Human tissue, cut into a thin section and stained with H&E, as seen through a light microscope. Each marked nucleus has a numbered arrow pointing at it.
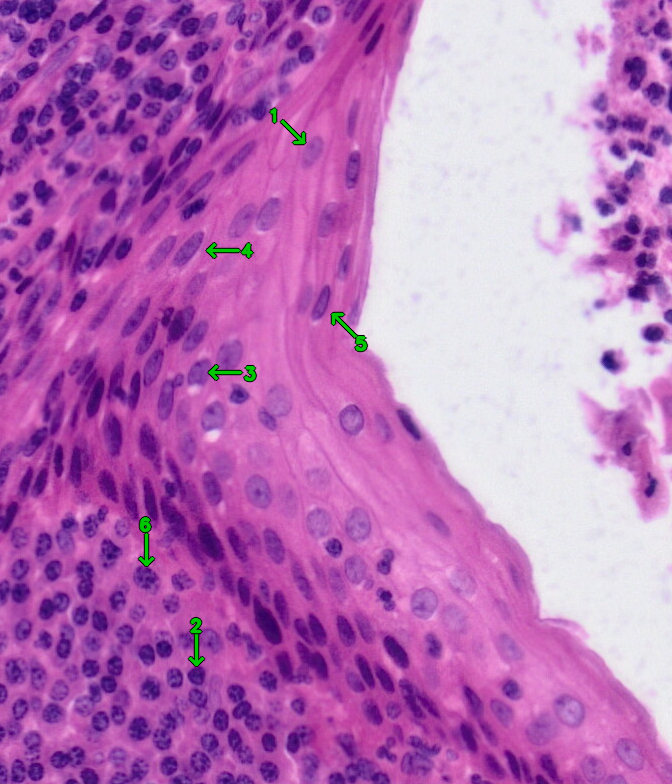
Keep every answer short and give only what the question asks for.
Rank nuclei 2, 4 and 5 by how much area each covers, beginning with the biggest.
4, 5, 2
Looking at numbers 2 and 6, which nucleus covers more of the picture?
6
